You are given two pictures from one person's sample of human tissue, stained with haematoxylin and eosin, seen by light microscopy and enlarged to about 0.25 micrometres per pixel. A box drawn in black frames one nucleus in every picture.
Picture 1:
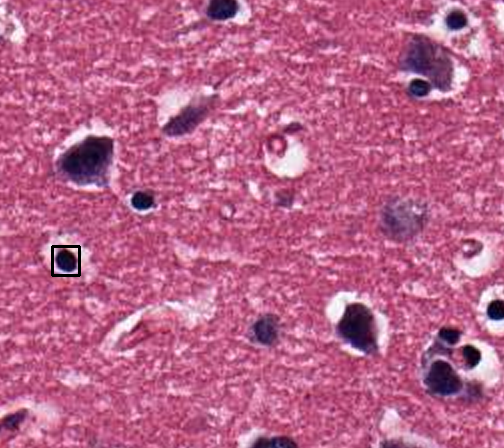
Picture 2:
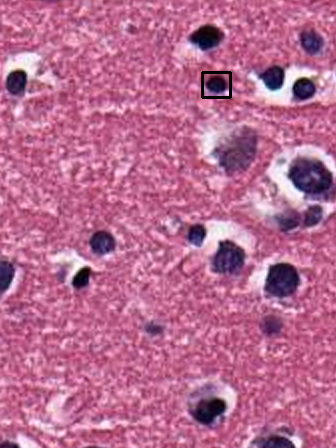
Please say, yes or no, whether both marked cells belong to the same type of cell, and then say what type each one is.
Yes, both are oligodendrocytes.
